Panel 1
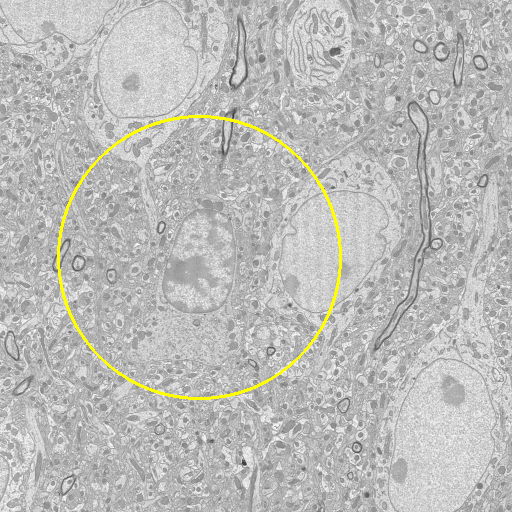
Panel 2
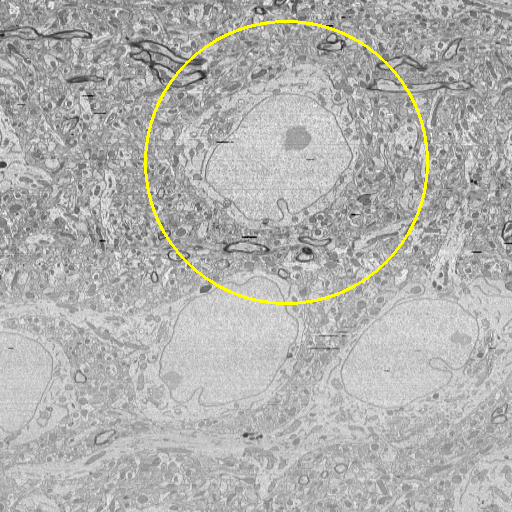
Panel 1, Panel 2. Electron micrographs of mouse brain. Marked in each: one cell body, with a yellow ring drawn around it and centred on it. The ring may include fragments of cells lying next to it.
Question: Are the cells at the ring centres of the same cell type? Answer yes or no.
no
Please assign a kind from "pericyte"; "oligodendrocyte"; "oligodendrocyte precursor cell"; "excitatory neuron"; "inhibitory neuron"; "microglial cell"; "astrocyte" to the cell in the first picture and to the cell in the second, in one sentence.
In the first picture we have an oligodendrocyte, and in the second, an excitatory neuron.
